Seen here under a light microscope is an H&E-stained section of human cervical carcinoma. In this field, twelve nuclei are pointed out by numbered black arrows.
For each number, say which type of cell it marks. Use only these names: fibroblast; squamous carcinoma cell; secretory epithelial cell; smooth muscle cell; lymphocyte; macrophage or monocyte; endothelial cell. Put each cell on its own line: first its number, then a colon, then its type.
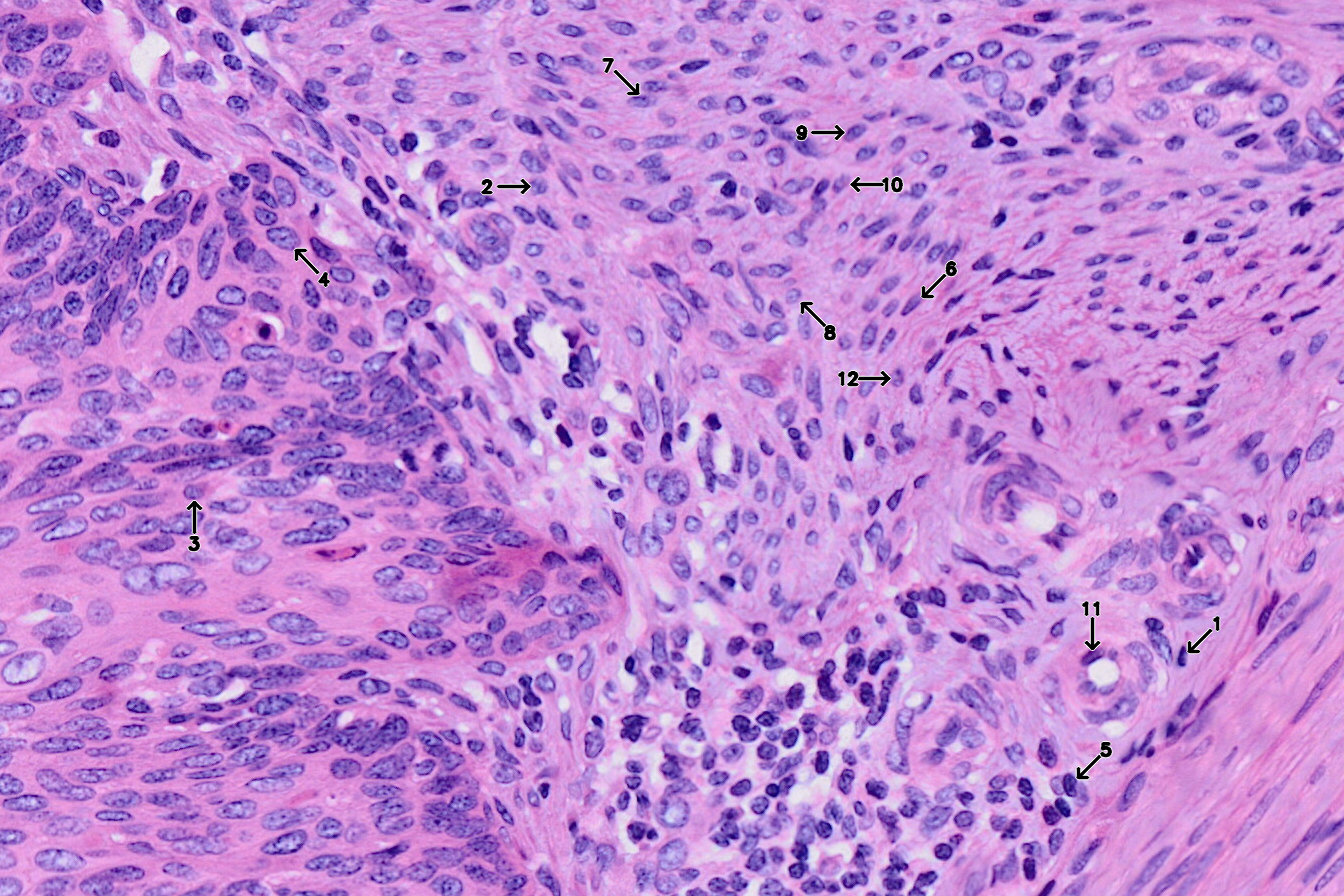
1: lymphocyte
2: smooth muscle cell
3: squamous carcinoma cell
4: squamous carcinoma cell
5: lymphocyte
6: smooth muscle cell
7: smooth muscle cell
8: smooth muscle cell
9: smooth muscle cell
10: smooth muscle cell
11: endothelial cell
12: smooth muscle cell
